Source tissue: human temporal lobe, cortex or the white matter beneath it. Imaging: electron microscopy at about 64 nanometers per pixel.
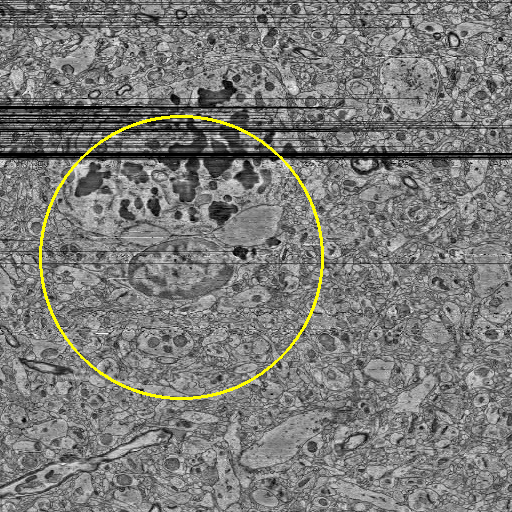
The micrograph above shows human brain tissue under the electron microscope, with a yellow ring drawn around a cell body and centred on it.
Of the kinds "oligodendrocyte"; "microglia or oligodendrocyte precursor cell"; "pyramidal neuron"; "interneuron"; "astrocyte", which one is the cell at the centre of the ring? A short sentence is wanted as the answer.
The one at the centre of the ring is a microglial cell or oligodendrocyte precursor cell.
